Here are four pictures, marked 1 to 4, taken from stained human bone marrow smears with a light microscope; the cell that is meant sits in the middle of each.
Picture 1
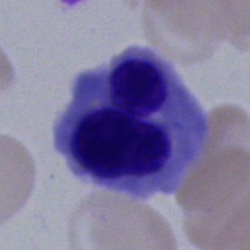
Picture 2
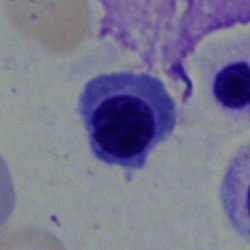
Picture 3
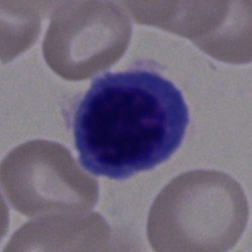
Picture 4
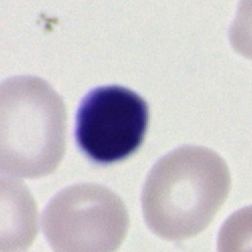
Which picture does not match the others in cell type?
4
